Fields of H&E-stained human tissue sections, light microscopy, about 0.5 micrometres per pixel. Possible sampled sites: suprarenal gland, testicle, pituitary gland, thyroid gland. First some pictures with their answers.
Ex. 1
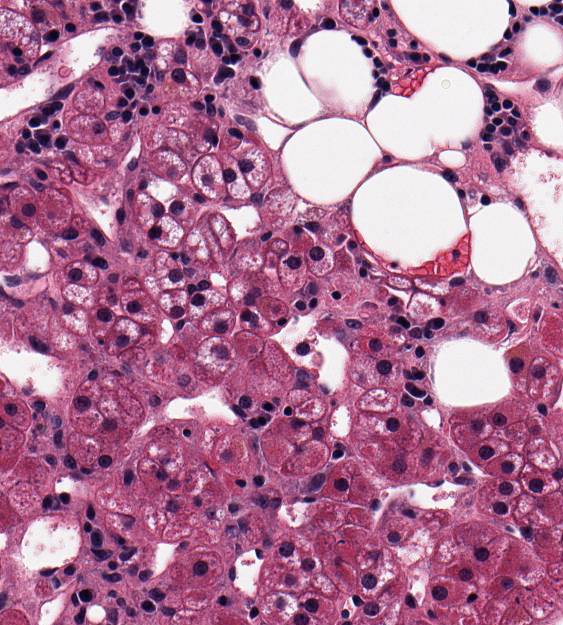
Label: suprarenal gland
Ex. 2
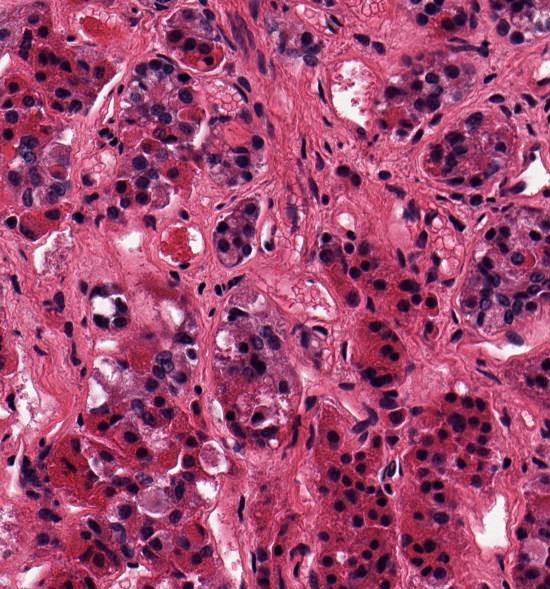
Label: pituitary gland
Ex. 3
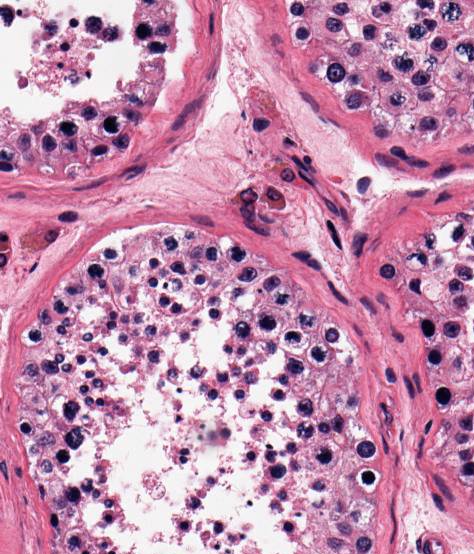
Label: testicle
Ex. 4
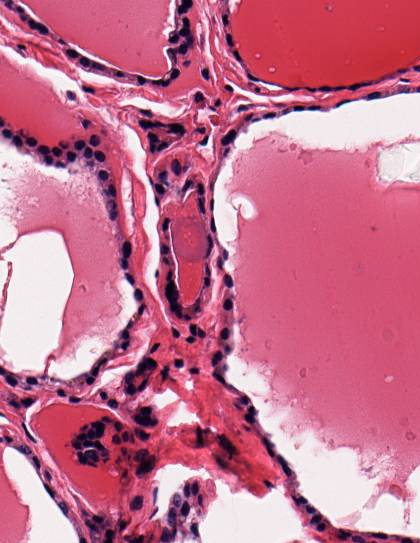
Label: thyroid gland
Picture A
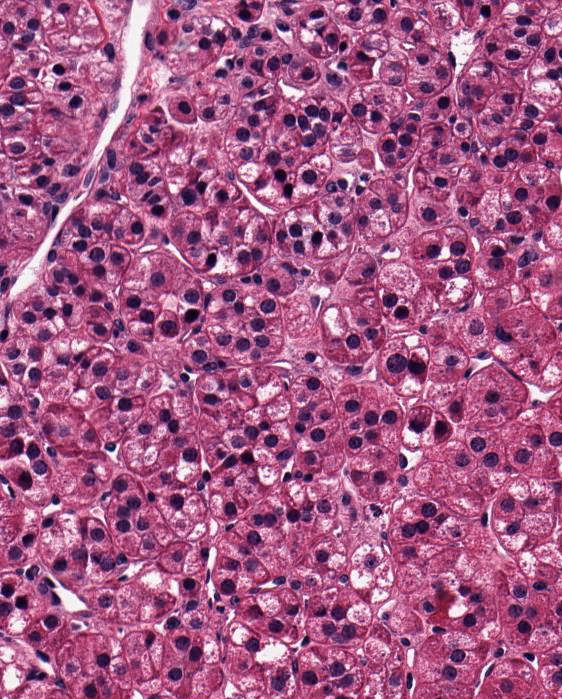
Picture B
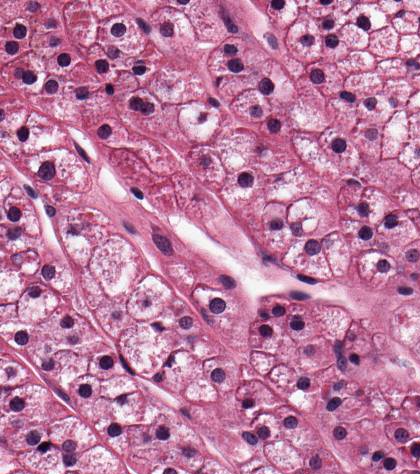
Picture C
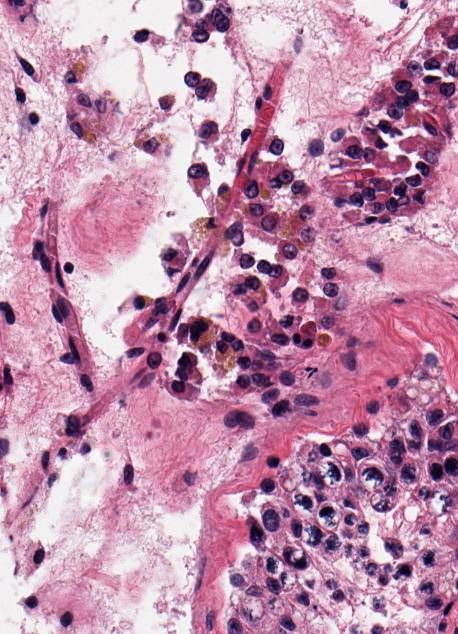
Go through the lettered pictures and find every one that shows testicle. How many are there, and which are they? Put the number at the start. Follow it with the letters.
Count: 1 (C)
